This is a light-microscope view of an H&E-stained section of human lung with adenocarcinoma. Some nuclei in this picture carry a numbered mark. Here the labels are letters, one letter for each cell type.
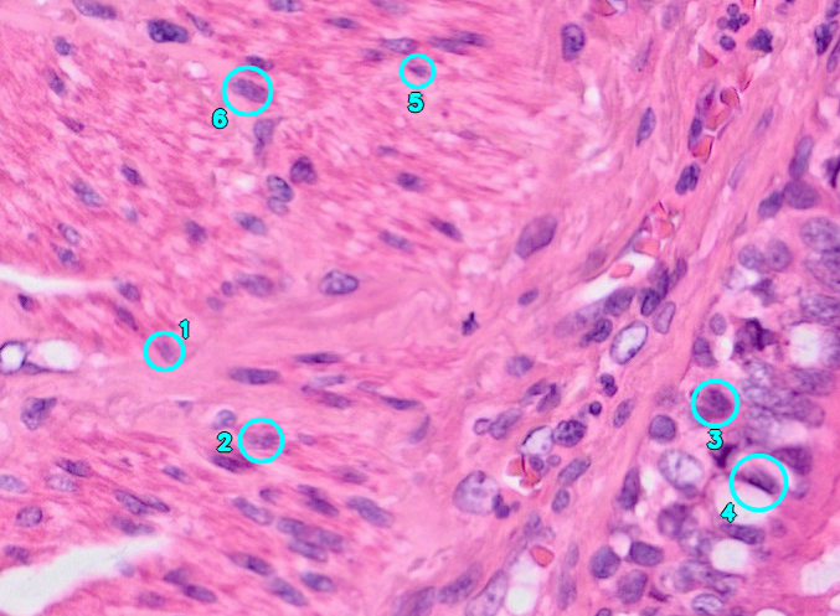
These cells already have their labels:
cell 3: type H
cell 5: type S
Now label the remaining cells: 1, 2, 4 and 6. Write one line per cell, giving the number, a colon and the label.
1: type S
2: type S
4: type H
6: type S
